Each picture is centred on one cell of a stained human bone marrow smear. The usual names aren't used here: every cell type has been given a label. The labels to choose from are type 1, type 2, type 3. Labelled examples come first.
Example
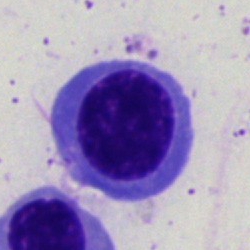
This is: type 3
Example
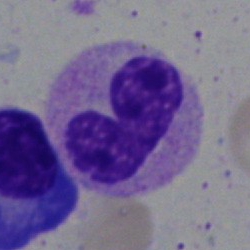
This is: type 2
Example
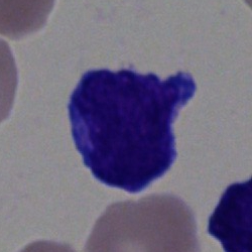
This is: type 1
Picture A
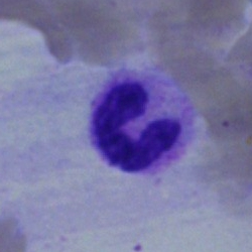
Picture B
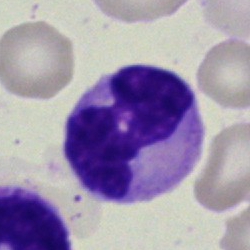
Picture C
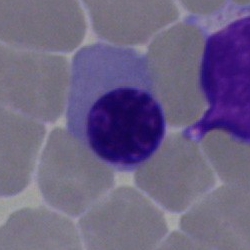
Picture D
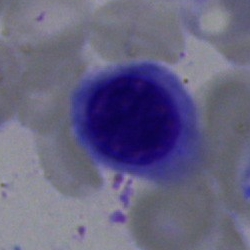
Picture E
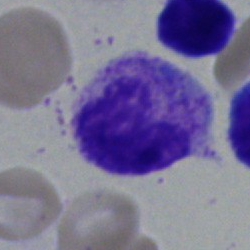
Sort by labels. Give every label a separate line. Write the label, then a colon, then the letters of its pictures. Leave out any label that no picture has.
type 2: A, B, E
type 3: C, D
